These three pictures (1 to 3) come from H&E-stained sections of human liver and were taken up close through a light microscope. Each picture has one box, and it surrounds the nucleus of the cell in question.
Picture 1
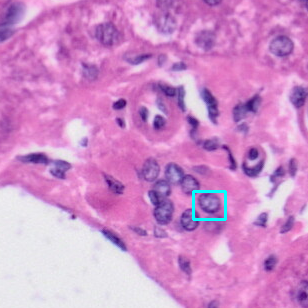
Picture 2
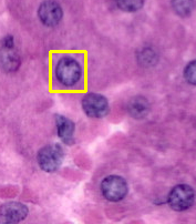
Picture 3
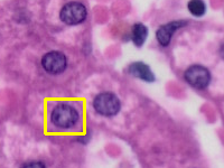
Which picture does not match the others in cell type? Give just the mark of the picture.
1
